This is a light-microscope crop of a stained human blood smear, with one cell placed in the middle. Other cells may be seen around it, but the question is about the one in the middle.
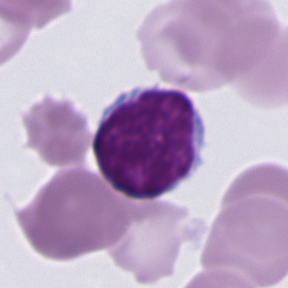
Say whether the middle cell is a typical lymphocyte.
yes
